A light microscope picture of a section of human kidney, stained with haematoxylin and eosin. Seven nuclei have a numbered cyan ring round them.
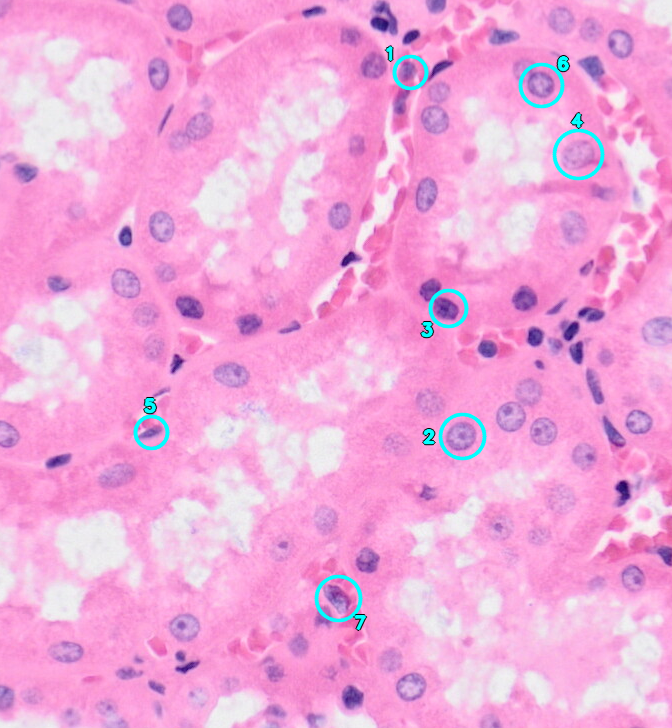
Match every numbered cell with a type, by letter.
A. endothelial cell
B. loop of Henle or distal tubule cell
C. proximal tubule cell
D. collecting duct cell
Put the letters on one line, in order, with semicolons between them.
A; C; C; C; A; C; A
